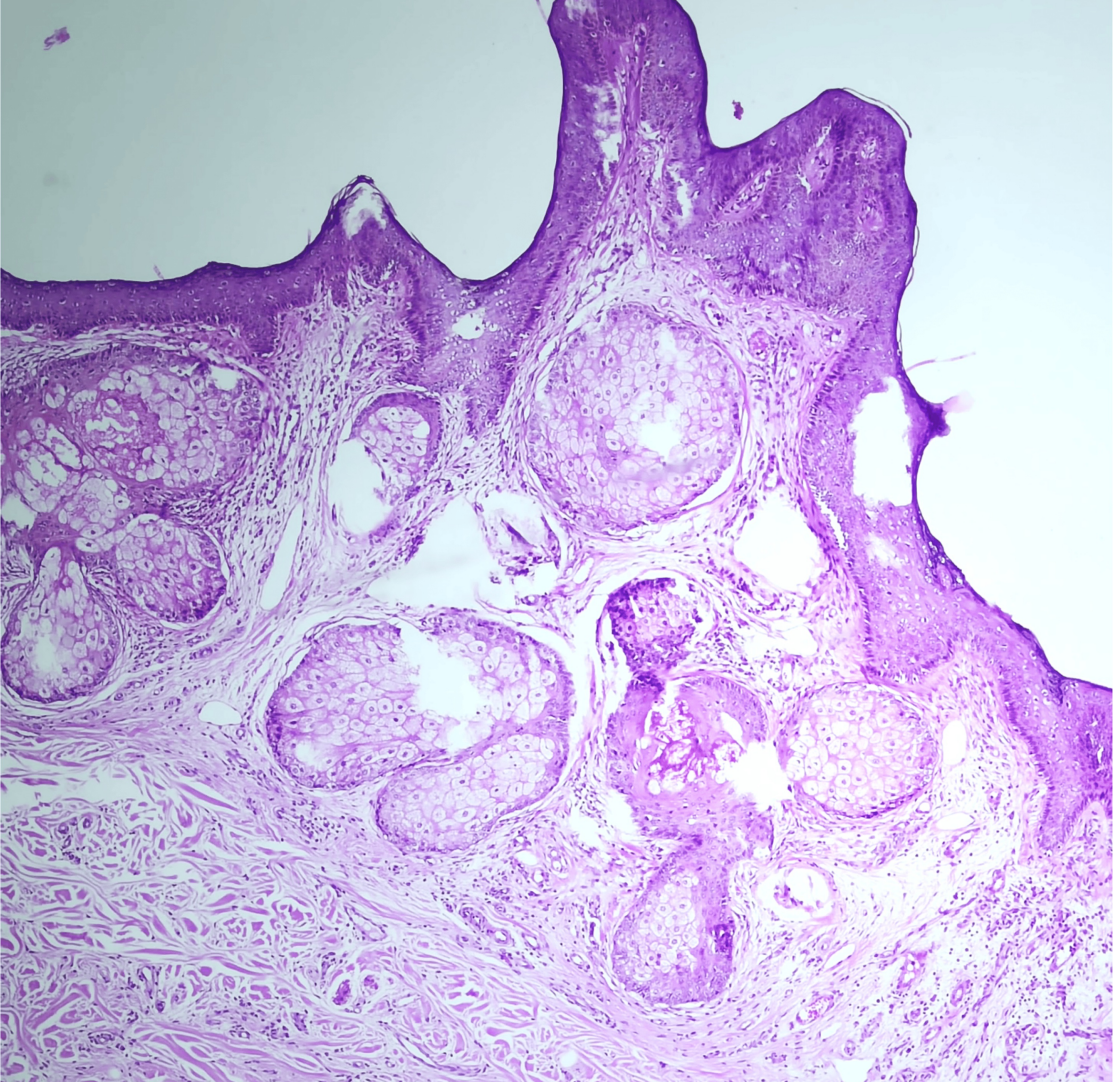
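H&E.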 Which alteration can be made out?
Epidermal papillomatosis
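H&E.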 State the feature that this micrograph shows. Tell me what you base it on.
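Many rounded lobules lie in the upper dermis just beneath the epidermis. The lobules are made of cells with pale, finely vacuolated, foamy cytoplasm and small central nuclei. A rim of darker basal-type cells lines the edge of each lobule. So: sebaceous glands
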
